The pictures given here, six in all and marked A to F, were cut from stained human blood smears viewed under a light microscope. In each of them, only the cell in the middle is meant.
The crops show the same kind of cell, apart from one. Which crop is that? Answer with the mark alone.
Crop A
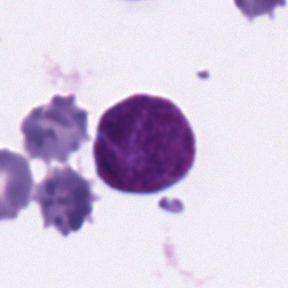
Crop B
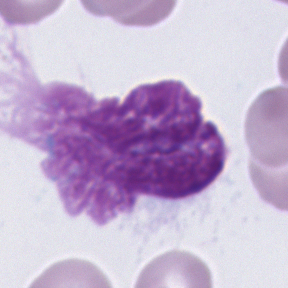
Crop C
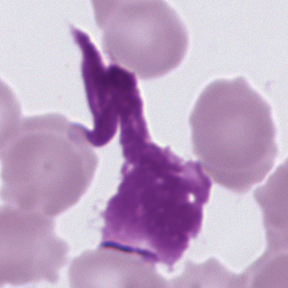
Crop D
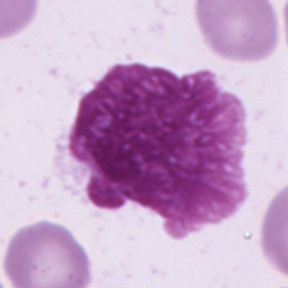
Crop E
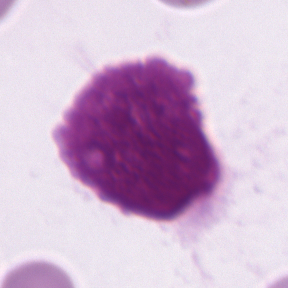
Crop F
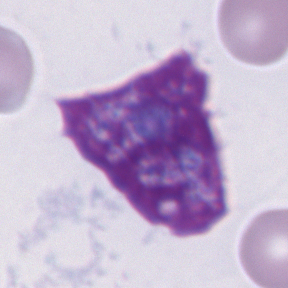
A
